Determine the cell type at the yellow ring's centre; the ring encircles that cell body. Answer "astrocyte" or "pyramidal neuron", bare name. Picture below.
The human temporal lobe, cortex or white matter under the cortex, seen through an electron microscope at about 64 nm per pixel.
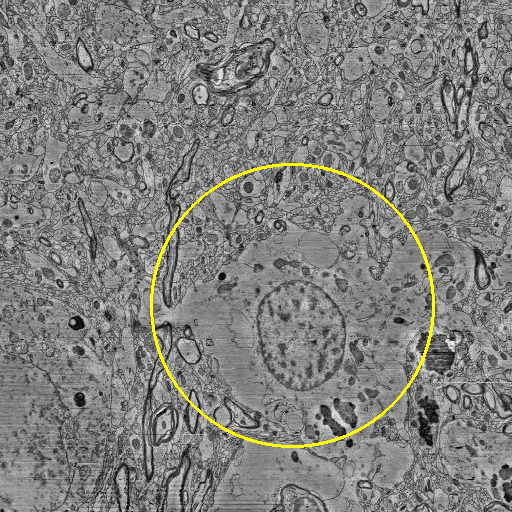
astrocyte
